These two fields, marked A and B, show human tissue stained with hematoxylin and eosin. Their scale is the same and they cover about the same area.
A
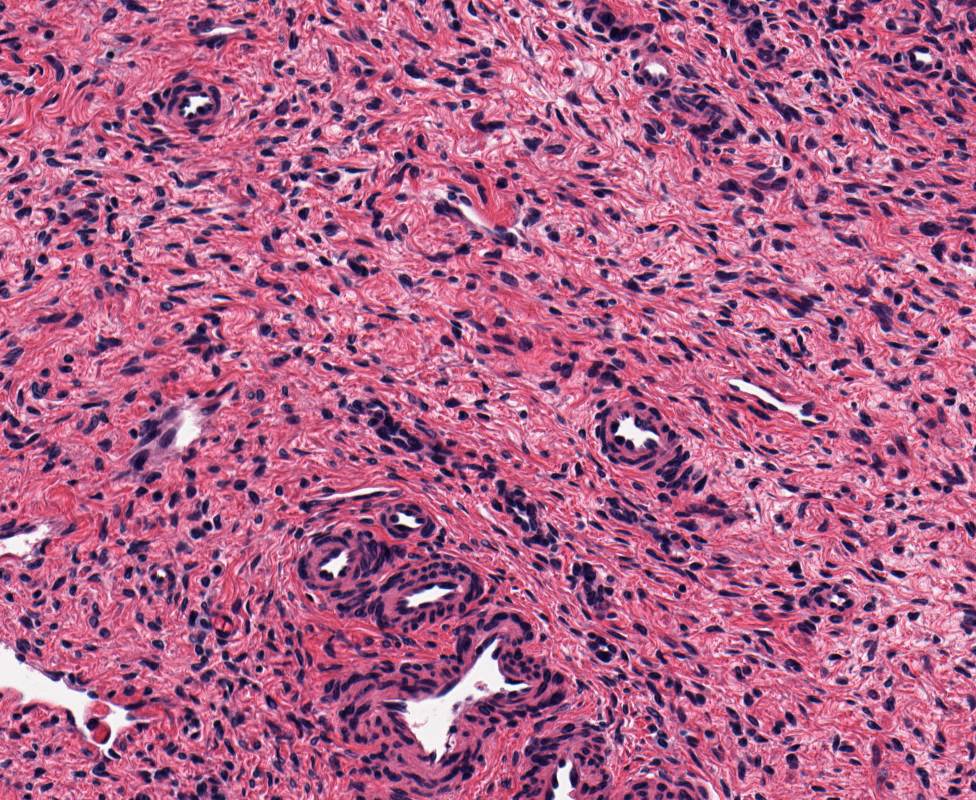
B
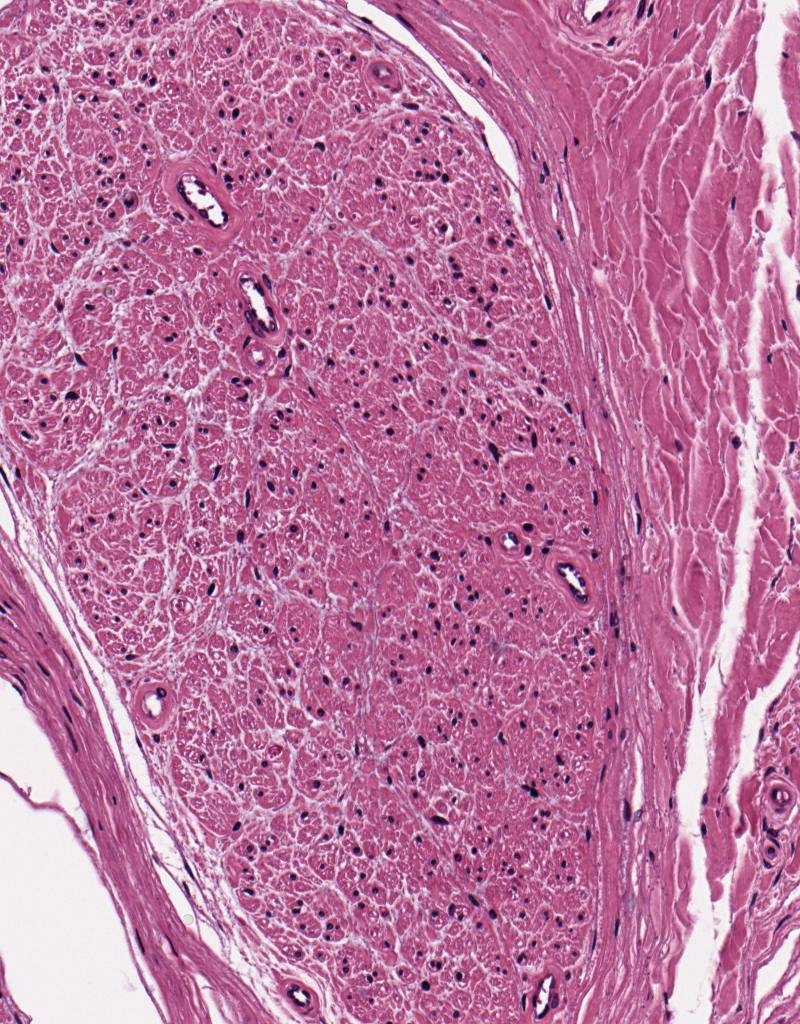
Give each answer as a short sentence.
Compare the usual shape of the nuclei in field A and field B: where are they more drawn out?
Longer, more slender nuclei lie in field A.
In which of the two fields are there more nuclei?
The larger number of nuclei is in field A.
